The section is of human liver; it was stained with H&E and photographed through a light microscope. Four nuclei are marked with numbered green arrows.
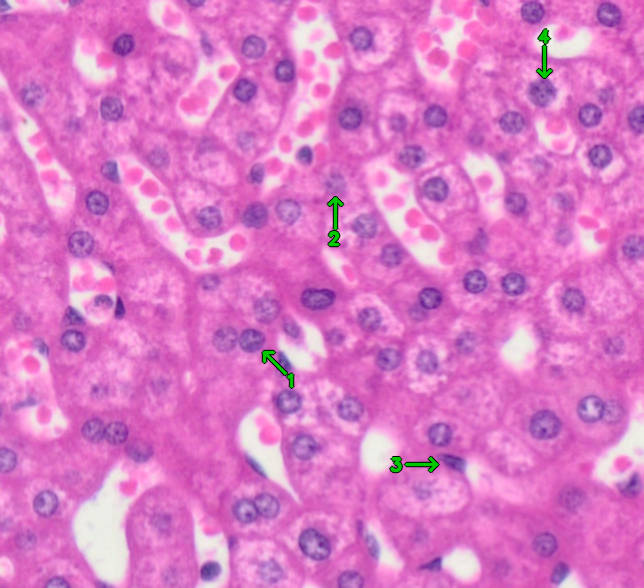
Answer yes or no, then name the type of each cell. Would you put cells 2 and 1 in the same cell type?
Yes, both are hepatocytes.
